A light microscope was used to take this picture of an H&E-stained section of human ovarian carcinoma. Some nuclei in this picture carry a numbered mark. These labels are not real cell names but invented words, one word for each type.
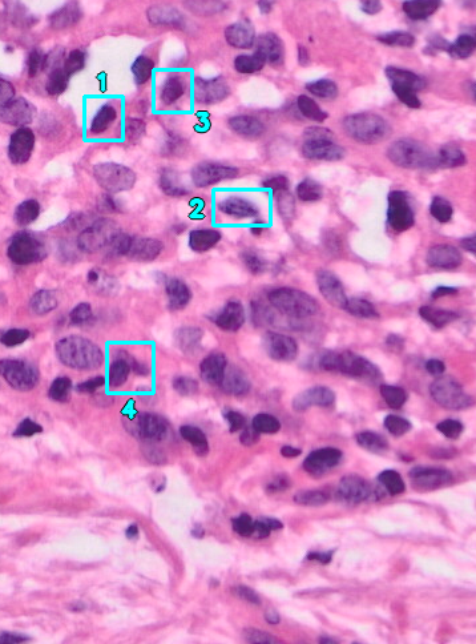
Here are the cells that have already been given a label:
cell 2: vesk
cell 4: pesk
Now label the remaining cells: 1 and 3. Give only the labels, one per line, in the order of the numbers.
pesk
pesk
